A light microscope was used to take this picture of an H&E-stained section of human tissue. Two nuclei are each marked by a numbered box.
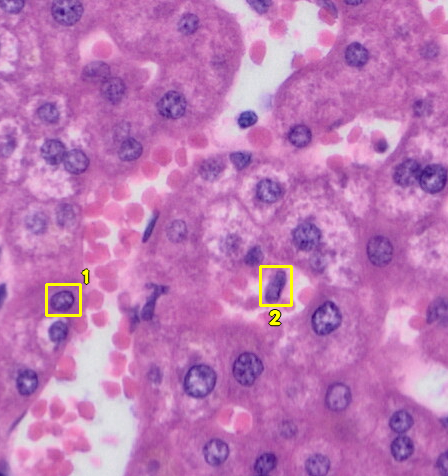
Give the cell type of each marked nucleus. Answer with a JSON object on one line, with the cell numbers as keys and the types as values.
{"1": "hepatocyte", "2": "Kupffer cell"}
